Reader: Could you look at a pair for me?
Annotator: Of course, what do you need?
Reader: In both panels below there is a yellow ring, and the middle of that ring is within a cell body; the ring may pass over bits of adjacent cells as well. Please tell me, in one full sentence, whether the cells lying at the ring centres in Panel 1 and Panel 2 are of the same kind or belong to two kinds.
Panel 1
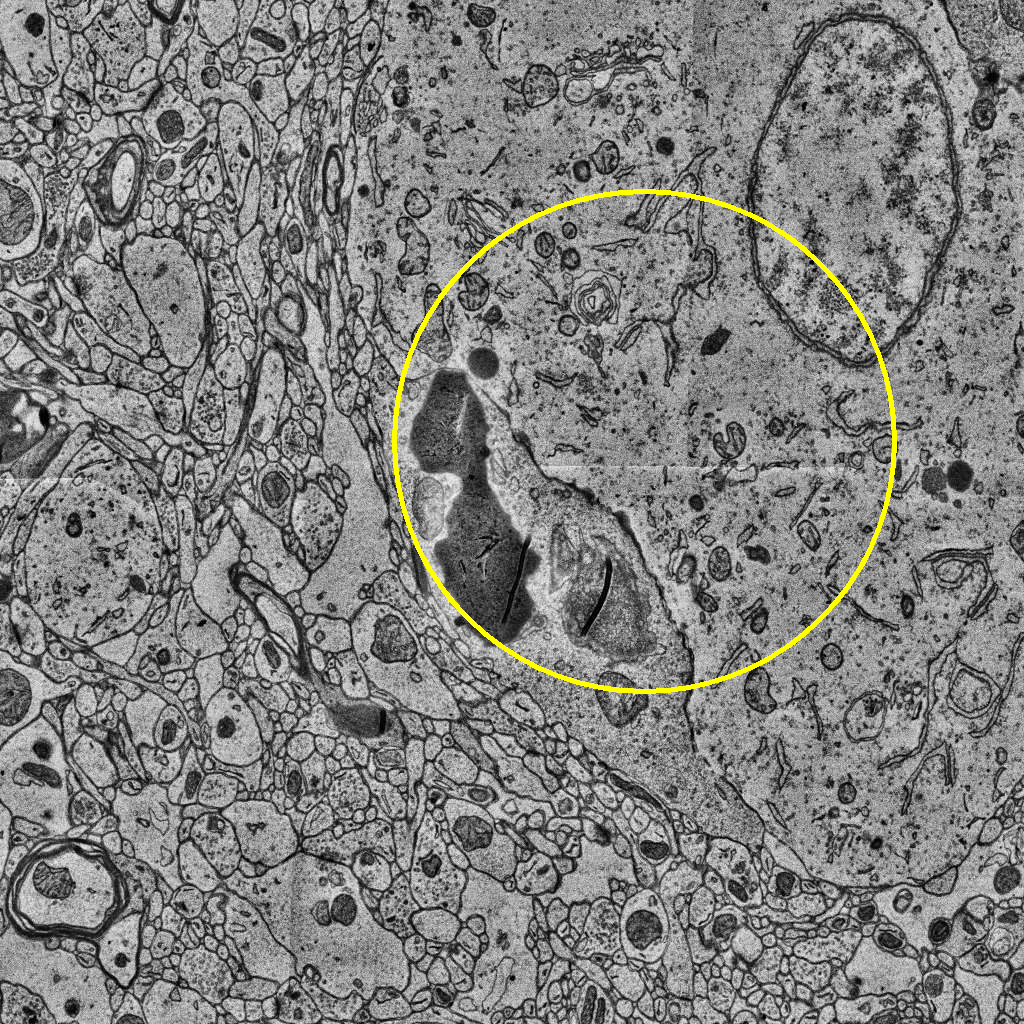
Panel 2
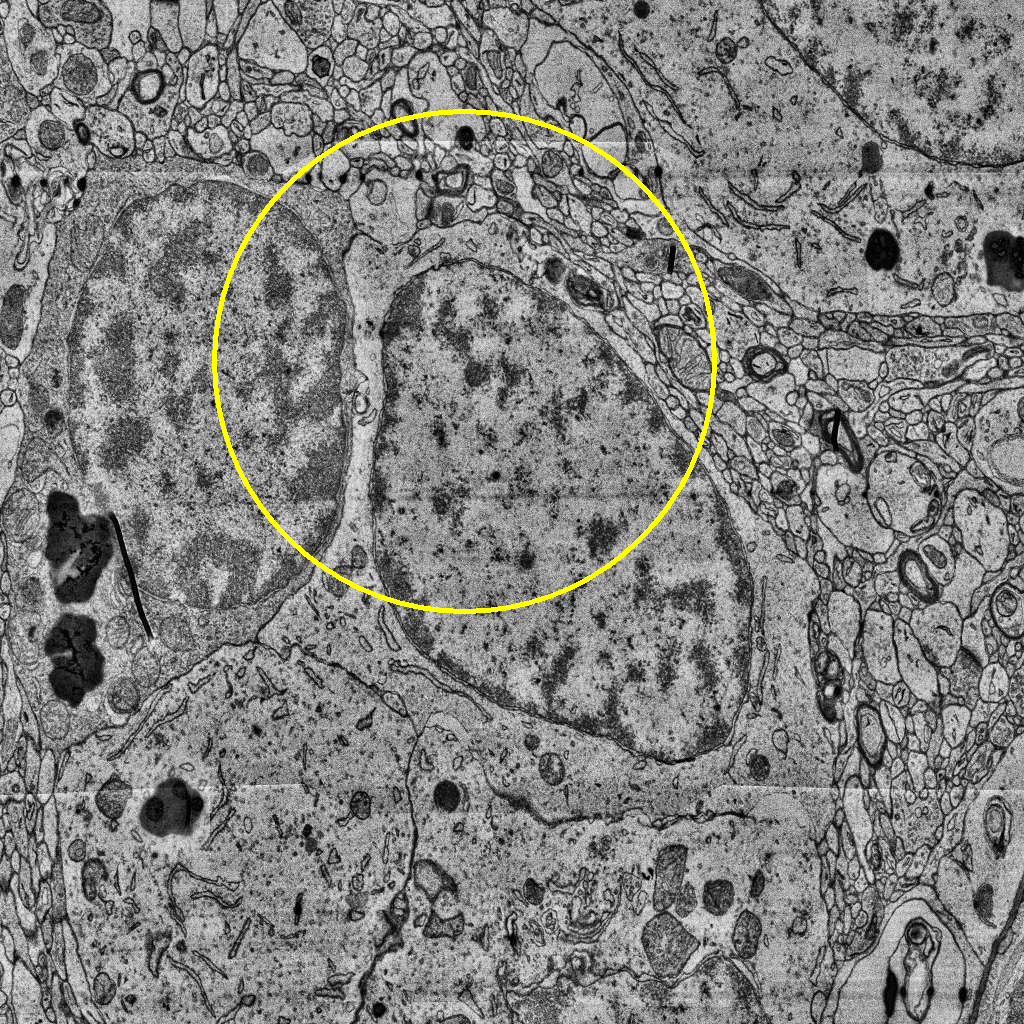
The cell at the ring's centre in Panel 1 and the one in Panel 2 belong to two kinds.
